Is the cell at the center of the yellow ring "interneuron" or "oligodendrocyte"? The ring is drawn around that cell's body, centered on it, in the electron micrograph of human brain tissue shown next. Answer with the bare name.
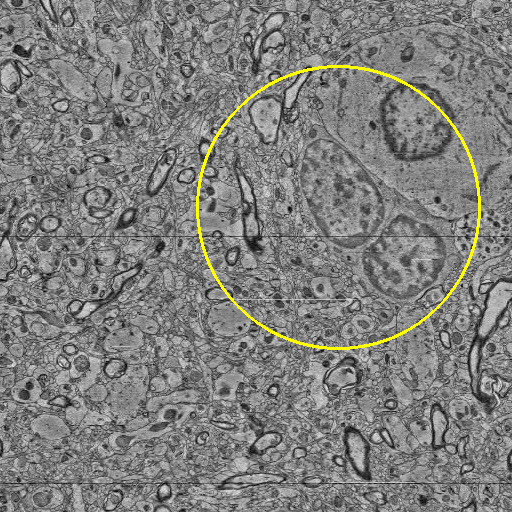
oligodendrocyte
